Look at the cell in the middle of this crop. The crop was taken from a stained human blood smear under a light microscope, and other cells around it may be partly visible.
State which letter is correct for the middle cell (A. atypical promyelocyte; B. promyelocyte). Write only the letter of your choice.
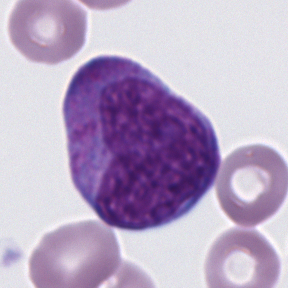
A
